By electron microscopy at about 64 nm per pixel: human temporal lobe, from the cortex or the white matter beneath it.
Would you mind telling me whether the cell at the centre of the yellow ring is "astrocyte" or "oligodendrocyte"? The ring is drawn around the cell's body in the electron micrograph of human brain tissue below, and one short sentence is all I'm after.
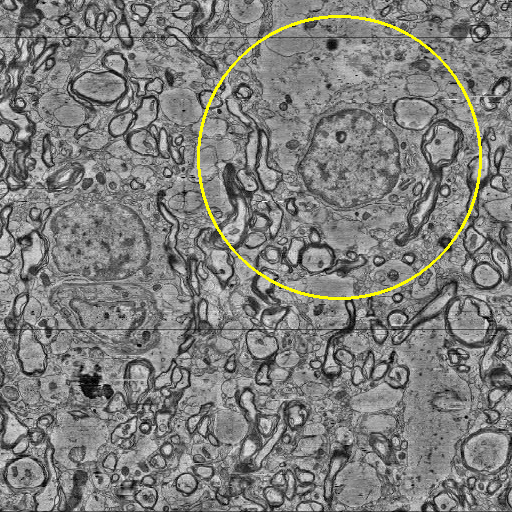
In the centre of the ring lies an oligodendrocyte.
